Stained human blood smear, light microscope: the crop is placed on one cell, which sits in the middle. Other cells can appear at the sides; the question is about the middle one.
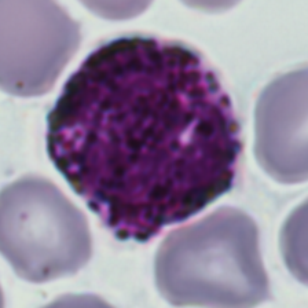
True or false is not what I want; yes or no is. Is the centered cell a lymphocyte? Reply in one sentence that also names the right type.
No, the cell at the centre is identified as a basophil, not as a lymphocyte.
